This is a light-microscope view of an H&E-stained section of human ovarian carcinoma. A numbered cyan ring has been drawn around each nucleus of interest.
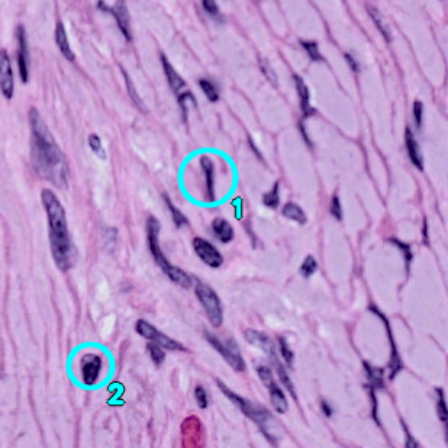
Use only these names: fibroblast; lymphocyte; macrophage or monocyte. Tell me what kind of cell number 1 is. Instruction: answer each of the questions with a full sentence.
Cell 1 in the field is a fibroblast.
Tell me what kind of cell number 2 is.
In the marked set, the cell given number 2 is a lymphocyte.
